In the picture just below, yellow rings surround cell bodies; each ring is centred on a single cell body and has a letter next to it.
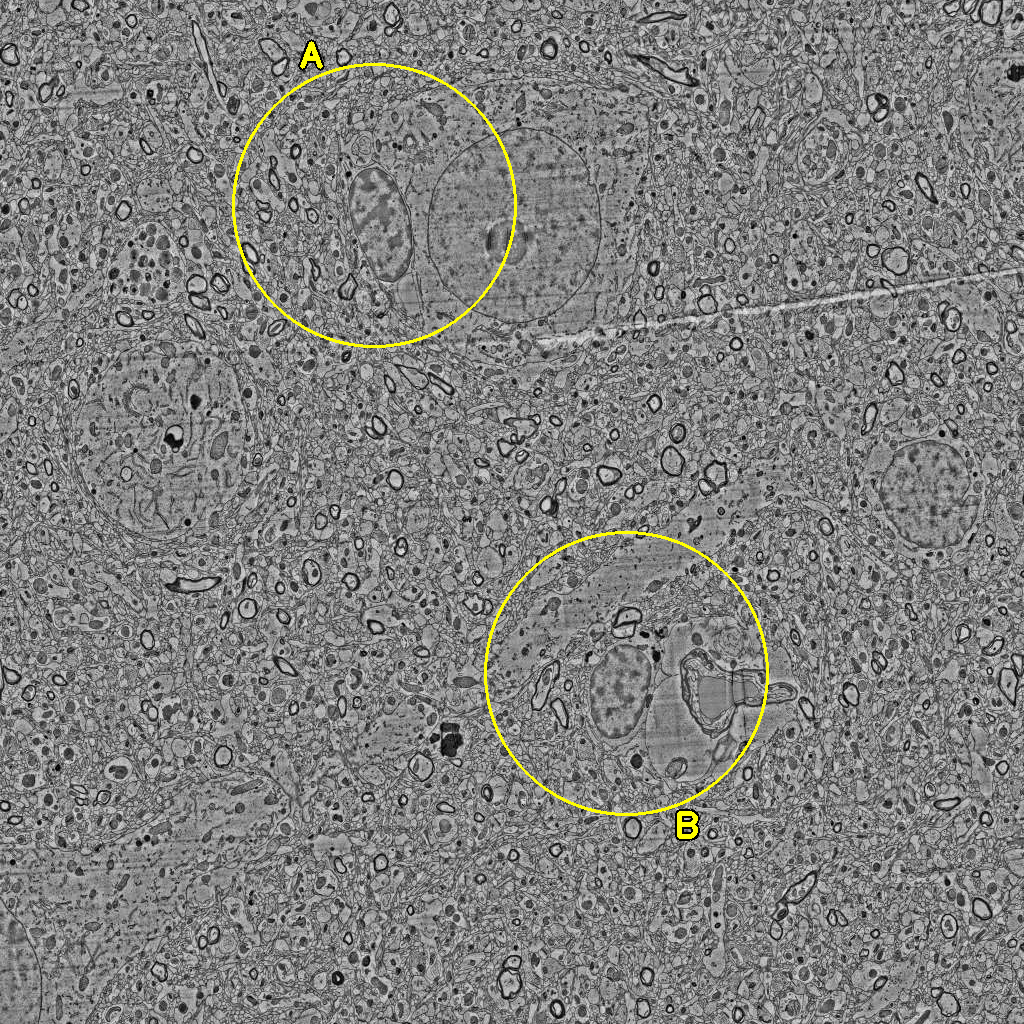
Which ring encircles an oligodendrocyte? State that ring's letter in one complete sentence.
The letter B marks the ring centred on the cell asked for in the picture.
